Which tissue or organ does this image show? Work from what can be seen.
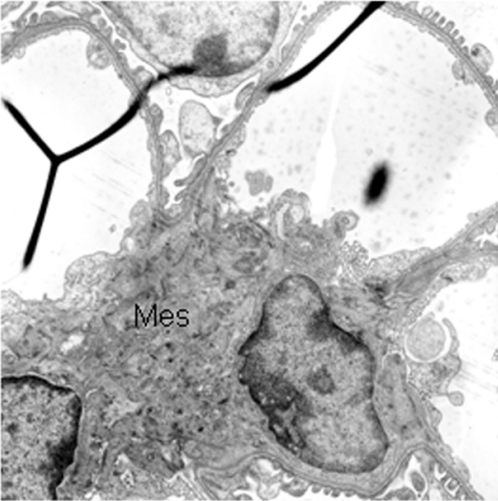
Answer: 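Glomerular segment. Several open capillary loops are lined by a thin membrane. A row of small foot-like projections covers the outer side of the loops. A cell with an irregular nucleus sits in the centre between the loops.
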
